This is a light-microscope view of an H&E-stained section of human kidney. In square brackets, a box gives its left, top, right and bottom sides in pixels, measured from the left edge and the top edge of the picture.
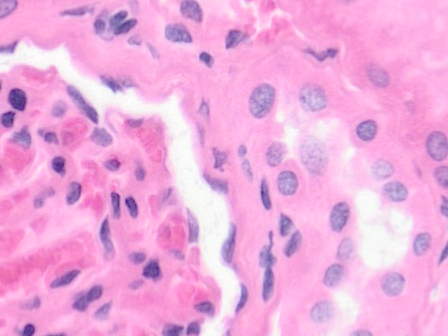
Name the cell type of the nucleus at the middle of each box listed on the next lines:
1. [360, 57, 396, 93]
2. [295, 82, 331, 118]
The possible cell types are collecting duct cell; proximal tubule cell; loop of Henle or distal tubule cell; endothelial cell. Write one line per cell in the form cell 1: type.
cell 1: proximal tubule cell
cell 2: loop of Henle or distal tubule cell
